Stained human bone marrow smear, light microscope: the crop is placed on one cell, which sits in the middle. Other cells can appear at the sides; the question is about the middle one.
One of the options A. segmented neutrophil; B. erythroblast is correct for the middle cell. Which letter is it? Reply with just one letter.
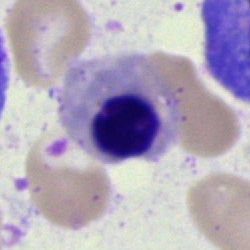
B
